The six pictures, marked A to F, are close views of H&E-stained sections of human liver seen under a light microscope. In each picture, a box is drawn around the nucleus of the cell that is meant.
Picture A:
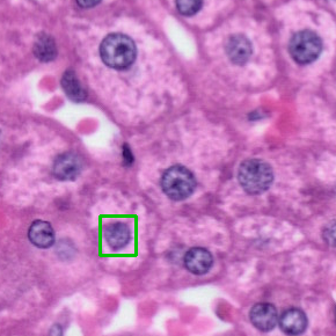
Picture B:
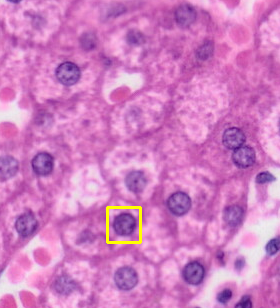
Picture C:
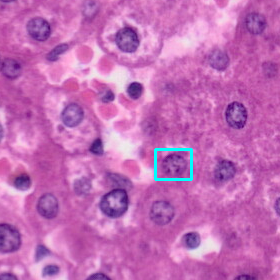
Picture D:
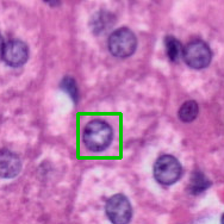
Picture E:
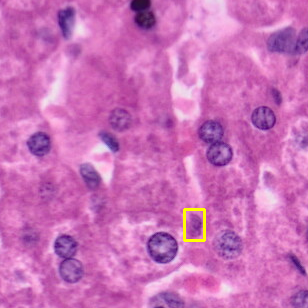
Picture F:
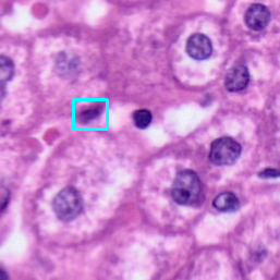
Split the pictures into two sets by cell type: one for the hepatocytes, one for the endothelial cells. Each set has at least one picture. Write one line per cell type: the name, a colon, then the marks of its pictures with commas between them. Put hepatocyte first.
hepatocyte: A, B, C, D
endothelial cell: E, F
